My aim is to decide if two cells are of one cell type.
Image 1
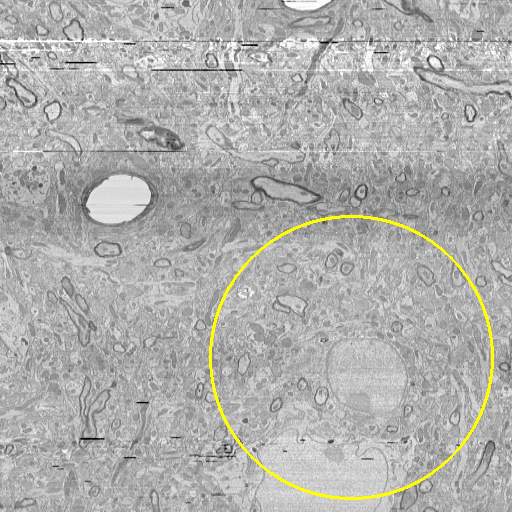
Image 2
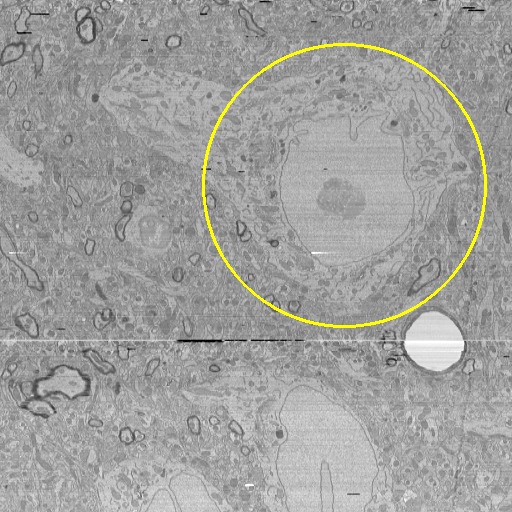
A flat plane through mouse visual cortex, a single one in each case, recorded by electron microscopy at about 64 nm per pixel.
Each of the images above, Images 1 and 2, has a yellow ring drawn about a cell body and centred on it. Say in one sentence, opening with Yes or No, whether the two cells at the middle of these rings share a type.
No, in Images 1 and 2 the cells at the middle of the rings fall into two types.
